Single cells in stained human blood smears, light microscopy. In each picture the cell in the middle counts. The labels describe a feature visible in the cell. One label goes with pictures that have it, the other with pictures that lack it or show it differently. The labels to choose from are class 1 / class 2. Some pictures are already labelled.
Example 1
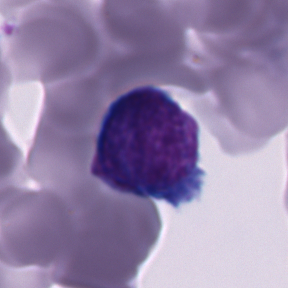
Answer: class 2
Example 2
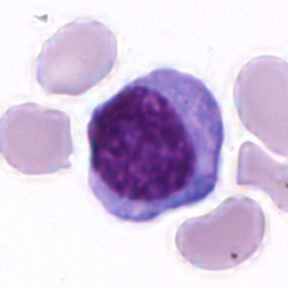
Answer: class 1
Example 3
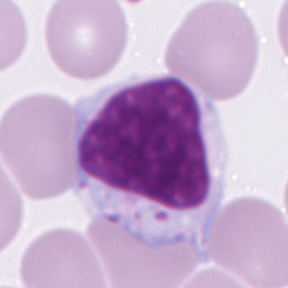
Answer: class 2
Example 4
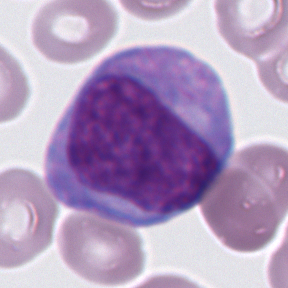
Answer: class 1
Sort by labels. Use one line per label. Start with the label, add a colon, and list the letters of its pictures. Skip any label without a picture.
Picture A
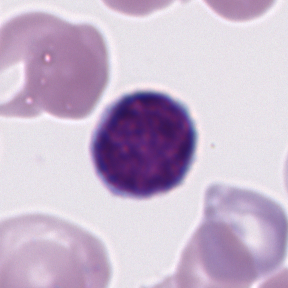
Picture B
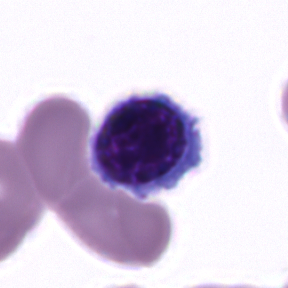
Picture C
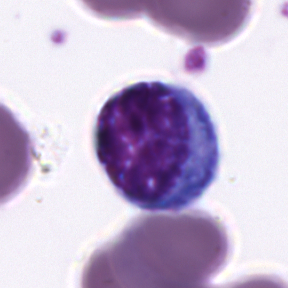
class 1: A, C
class 2: B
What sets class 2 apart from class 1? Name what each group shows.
In class 2: ragged outline or projections. In class 1: smooth outline.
